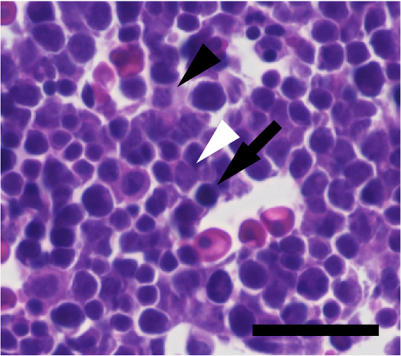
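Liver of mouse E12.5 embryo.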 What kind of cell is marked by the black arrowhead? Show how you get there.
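The marked cell is larger than the packed small dark cells nearby. It lies beside an open space. On this evidence: hepatoblast.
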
